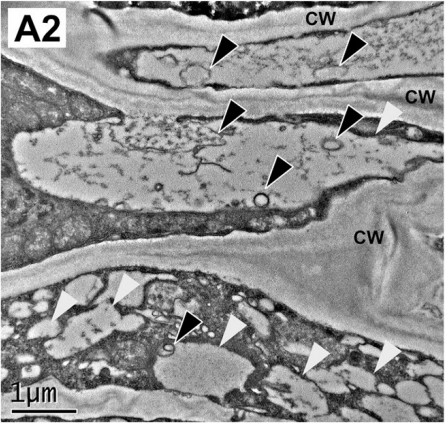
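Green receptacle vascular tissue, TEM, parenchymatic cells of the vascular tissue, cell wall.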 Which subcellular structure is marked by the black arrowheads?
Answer: Autophagic bodies.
